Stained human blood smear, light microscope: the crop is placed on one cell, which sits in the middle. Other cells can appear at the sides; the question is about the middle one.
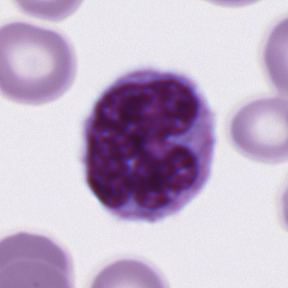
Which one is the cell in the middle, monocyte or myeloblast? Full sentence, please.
The target cell in the middle of the crop is a monocyte.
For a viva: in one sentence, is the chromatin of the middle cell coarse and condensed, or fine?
This nucleus has coarsely clumped chromatin.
